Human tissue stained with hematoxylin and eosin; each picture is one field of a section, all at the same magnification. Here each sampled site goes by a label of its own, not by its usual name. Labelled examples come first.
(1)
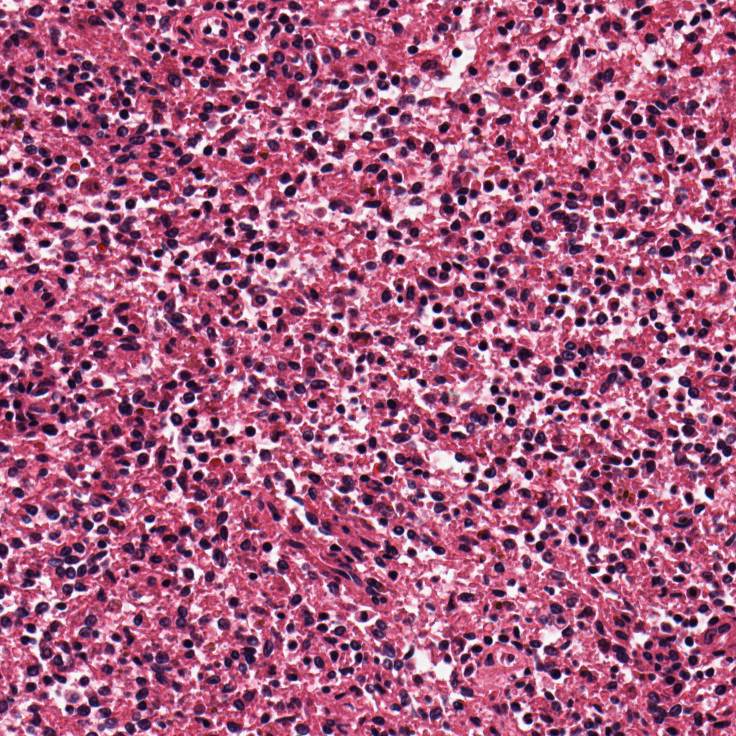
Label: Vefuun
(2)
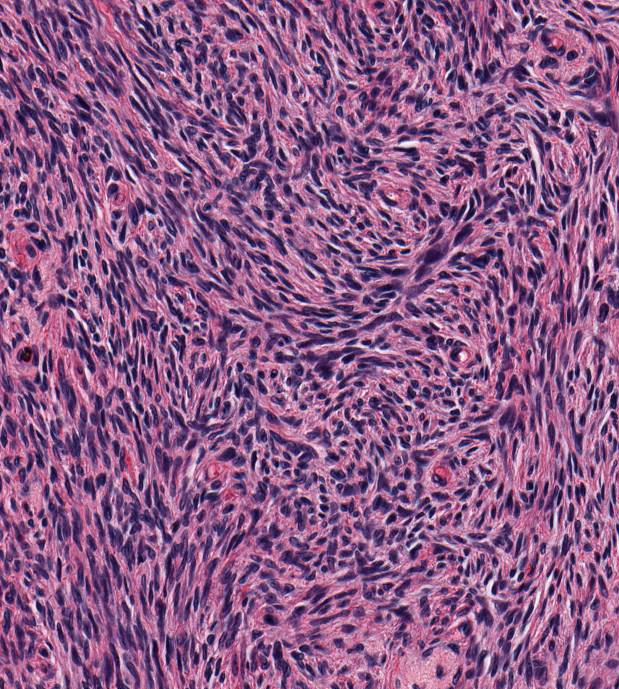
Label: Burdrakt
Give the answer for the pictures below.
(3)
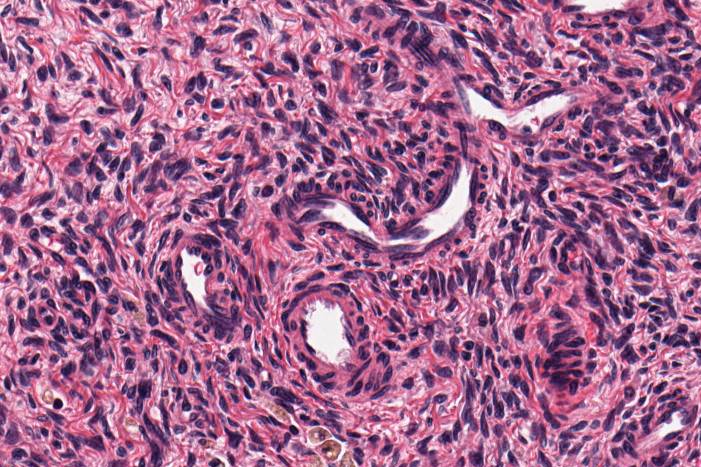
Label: Burdrakt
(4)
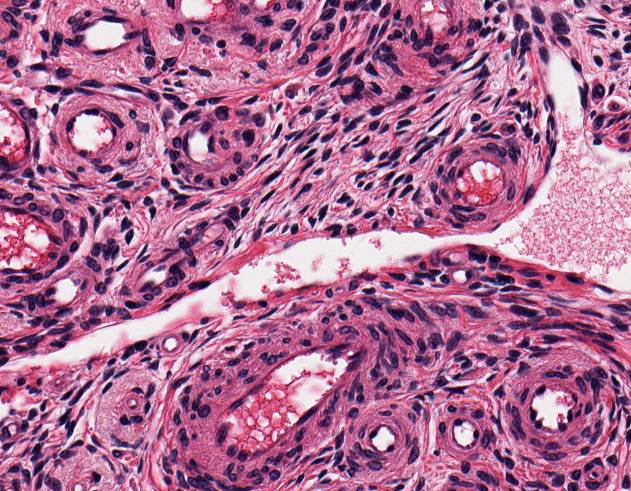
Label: Burdrakt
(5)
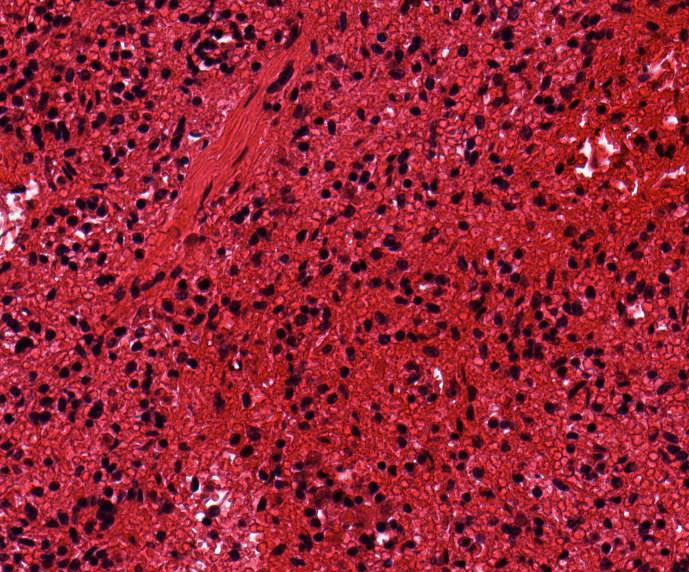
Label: Vefuun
